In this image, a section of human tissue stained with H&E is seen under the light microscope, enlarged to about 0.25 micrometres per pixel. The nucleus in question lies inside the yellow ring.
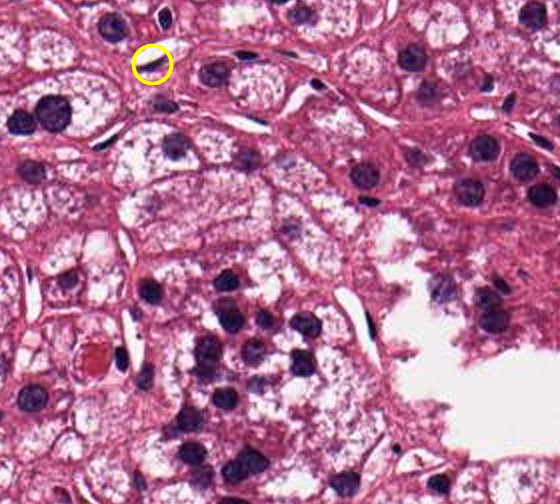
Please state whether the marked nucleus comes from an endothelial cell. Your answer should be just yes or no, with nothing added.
yes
